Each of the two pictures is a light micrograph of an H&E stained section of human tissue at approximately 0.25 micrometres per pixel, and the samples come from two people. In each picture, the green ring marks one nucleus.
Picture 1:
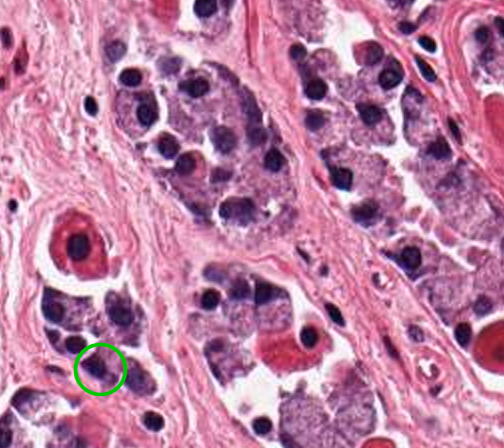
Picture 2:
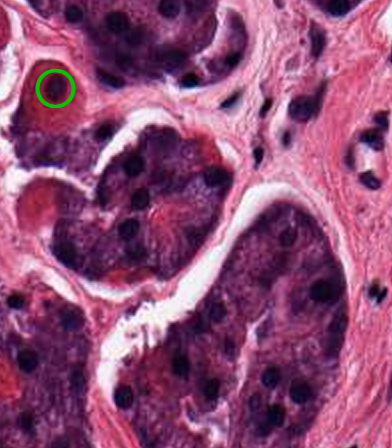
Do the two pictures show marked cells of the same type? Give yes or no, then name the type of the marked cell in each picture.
No, the first is a chief cell and the second a parietal cell.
